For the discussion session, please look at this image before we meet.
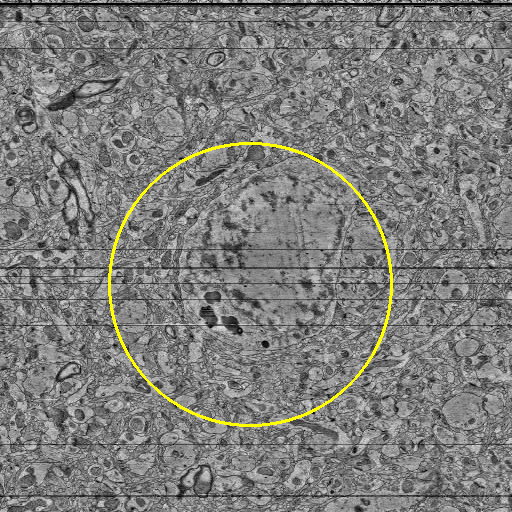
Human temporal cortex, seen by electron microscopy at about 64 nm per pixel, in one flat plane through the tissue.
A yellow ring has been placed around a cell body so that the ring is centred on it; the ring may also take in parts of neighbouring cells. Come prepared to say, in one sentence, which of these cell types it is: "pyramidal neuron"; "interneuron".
The cell centred in the ring is an interneuron.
